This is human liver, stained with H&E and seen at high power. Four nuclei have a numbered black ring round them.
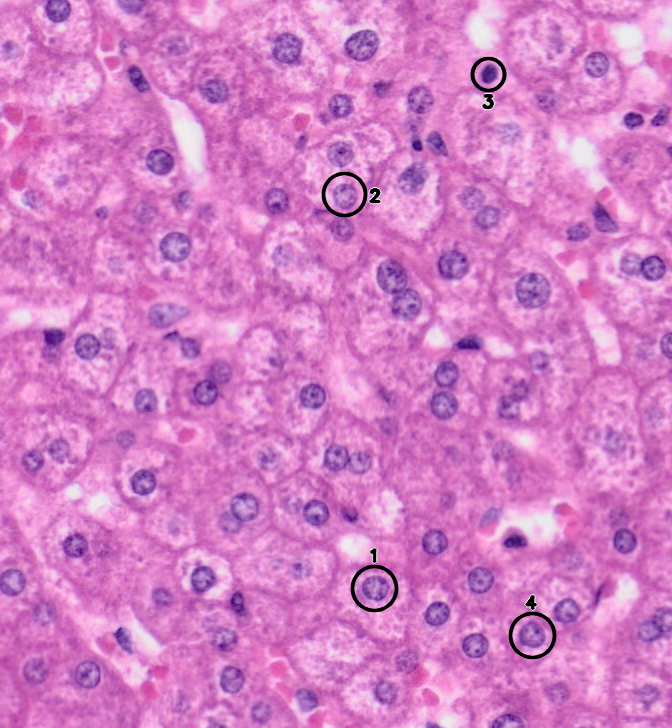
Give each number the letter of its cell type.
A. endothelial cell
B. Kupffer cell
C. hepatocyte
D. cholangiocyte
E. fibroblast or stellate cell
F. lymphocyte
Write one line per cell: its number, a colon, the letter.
1: C
2: C
3: F
4: C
